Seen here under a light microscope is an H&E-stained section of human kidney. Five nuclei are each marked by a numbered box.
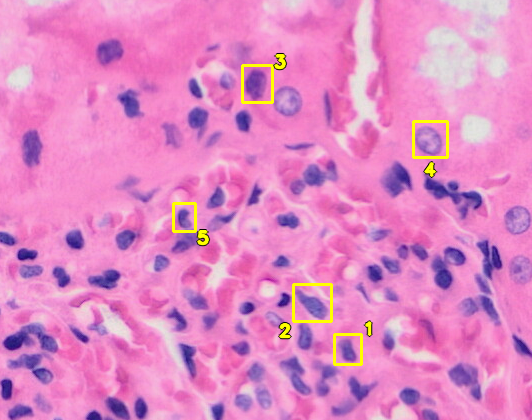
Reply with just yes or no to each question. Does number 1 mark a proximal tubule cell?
no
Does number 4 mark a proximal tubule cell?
yes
